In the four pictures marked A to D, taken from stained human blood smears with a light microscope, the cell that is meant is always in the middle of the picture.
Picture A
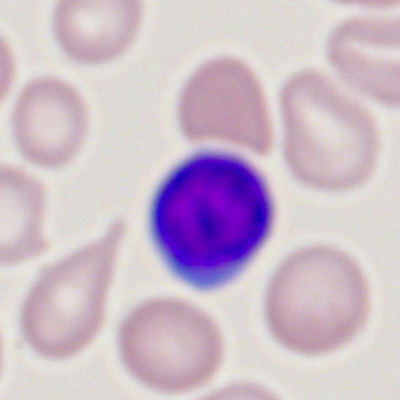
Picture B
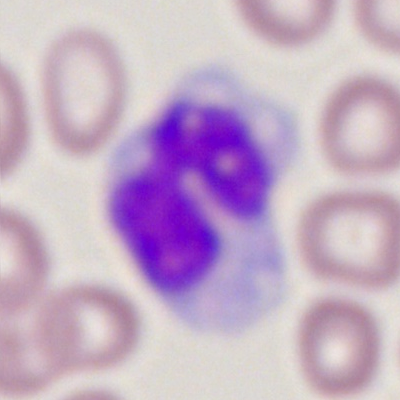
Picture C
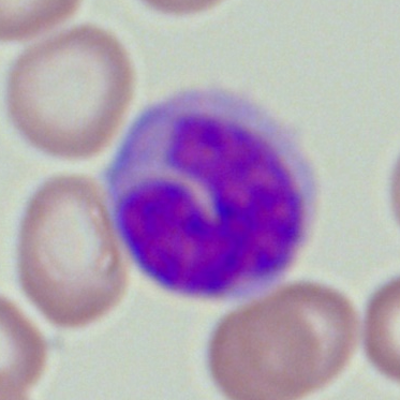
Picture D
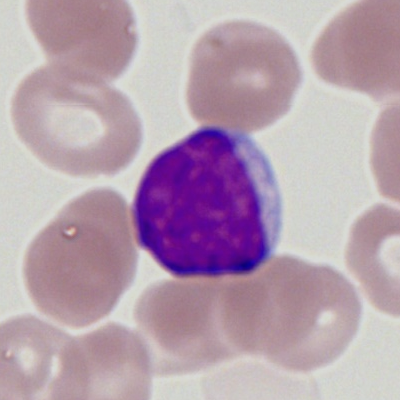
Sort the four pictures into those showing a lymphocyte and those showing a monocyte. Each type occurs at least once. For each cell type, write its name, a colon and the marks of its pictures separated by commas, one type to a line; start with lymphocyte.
lymphocyte: A, D
monocyte: B, C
